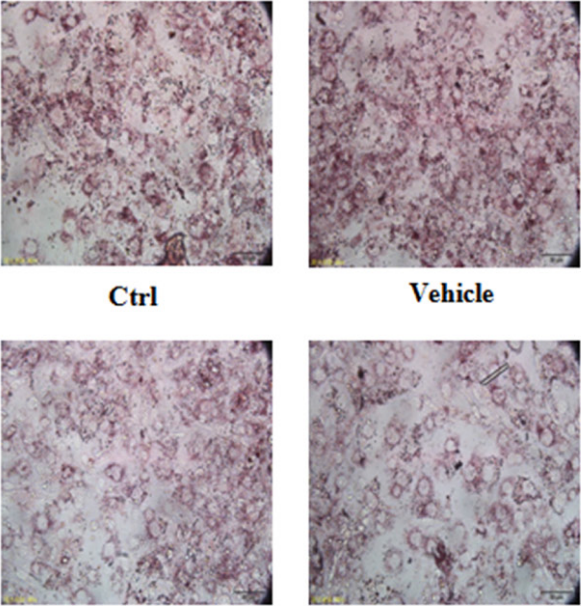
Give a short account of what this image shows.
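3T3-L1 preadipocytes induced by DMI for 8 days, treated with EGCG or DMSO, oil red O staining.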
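Many cells have become rounded and hold clusters of small red droplets in their cytoplasm. The droplets often gather into ring-like or rosette-like groups that outline the rounded cell bodies. The cells lie densely packed in a sheet, with pale unstained areas between them.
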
